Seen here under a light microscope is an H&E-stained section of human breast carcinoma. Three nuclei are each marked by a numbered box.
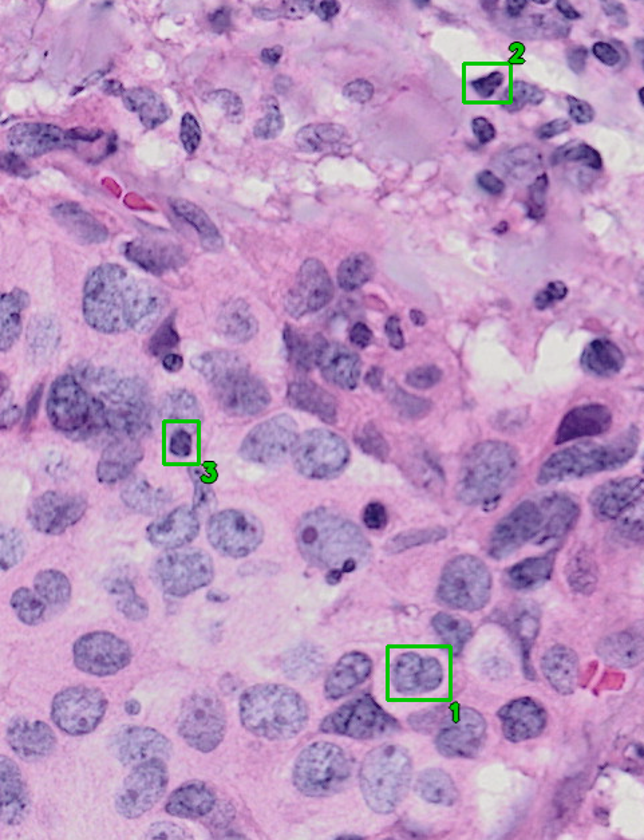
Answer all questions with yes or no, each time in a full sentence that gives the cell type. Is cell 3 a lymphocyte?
Yes, the cell that number 3 points to is a lymphocyte.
